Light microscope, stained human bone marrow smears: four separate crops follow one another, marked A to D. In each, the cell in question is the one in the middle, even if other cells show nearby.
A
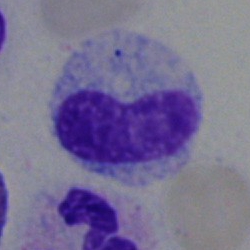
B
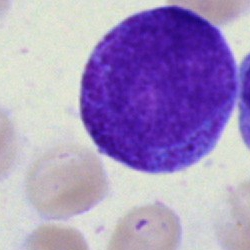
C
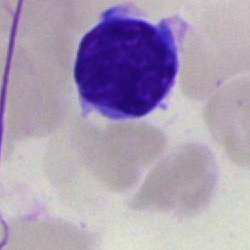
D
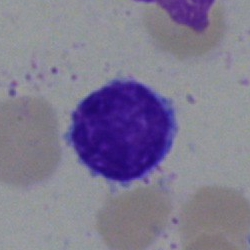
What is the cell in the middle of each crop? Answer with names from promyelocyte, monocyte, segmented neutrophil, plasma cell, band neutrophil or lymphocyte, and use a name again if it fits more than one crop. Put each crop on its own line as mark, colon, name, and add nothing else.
A: band neutrophil
B: promyelocyte
C: lymphocyte
D: lymphocyte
